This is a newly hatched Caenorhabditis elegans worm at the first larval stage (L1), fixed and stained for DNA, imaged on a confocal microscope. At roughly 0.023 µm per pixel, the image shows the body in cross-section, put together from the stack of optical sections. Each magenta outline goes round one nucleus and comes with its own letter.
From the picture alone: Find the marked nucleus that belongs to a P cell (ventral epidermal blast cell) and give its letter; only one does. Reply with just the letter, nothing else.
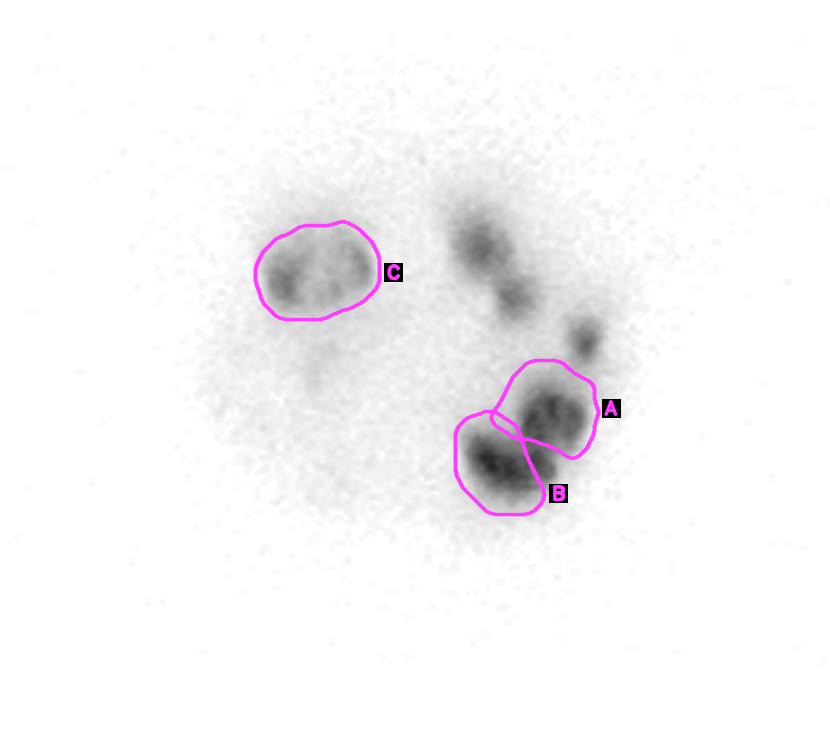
B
